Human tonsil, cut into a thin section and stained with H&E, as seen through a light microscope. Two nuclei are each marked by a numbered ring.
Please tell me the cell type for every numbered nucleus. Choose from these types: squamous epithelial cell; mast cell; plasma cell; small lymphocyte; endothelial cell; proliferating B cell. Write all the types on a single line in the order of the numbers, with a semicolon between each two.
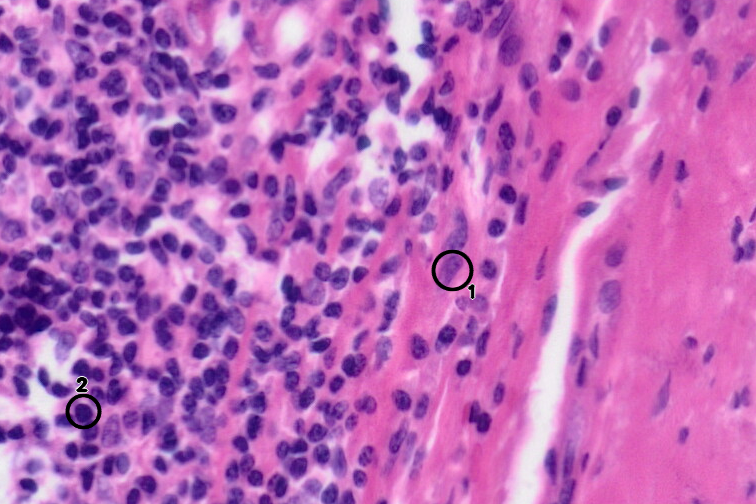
endothelial cell; small lymphocyte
